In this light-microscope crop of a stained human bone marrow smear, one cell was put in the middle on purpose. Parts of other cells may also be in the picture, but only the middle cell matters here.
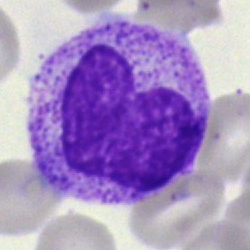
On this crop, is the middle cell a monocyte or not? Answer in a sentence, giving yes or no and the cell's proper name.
No, the cell at the centre is a metamyelocyte, which rules out a monocyte.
